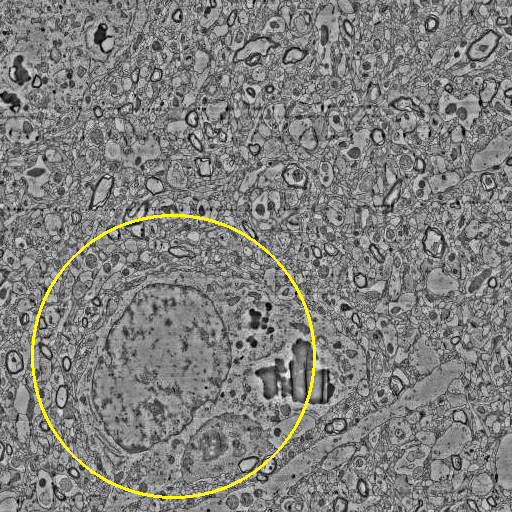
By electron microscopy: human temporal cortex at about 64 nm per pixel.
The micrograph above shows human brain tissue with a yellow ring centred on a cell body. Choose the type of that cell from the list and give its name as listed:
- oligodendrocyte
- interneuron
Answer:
interneuron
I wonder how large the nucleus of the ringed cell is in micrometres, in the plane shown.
The nucleus of the ringed cell is approximately 11 by 8 micrometres in this plane.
